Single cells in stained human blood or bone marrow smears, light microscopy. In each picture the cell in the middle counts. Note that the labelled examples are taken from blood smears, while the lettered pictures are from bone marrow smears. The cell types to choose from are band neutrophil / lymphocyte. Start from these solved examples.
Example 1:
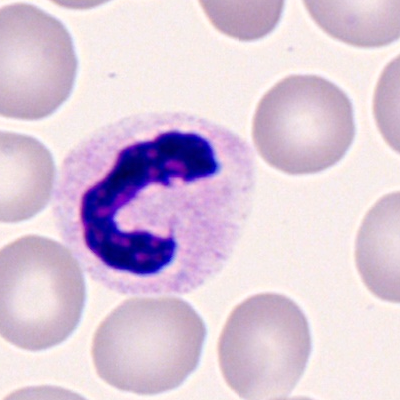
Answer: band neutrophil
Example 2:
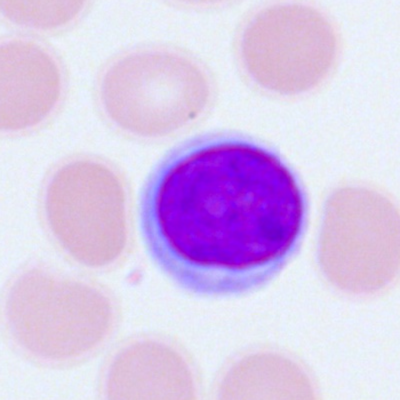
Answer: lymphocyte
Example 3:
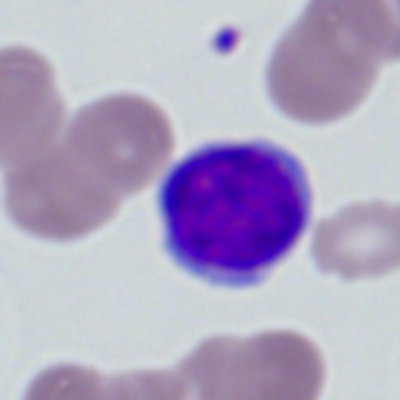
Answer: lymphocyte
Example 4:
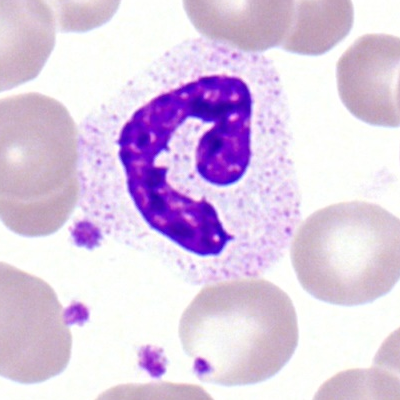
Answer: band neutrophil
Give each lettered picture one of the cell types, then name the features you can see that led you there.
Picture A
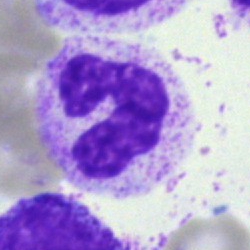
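band neutrophil: The nucleus is deeply indented into a curved, horseshoe-like shape.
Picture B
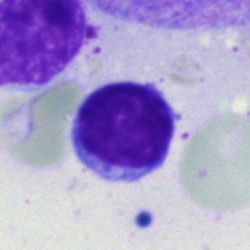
lymphocyte: The nucleus fills most of the cell, leaving the cytoplasm as a crescent below it.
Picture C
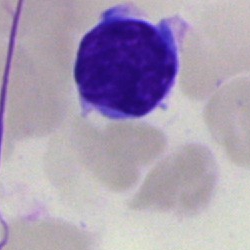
lymphocyte: The cytoplasm is scant, forming only a thin rim around the nucleus.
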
